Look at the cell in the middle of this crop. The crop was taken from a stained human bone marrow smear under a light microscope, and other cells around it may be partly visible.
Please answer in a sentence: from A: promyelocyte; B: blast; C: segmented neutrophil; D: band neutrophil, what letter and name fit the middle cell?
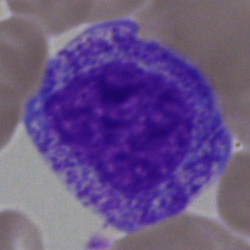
As the central cell is a promyelocyte, option A is correct.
